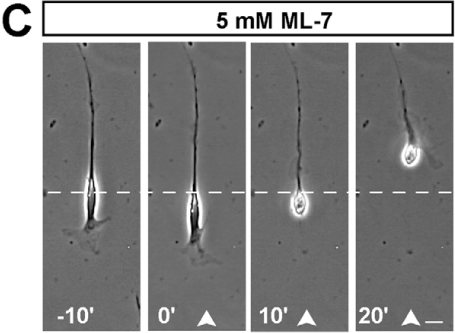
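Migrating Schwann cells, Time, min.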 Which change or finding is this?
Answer: collapse of leading front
